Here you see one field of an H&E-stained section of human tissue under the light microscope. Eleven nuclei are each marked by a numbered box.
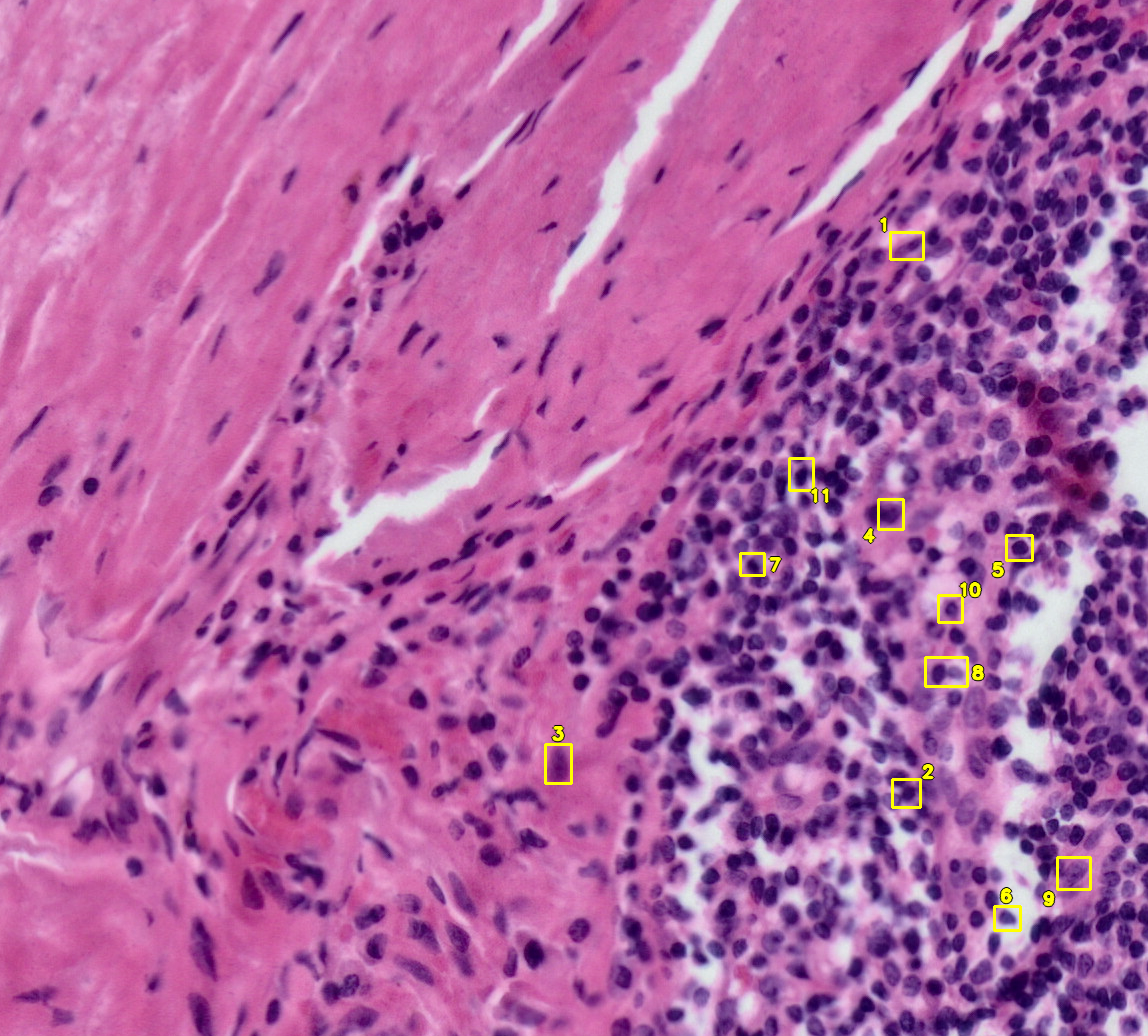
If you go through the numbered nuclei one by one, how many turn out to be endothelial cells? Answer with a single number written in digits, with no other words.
6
